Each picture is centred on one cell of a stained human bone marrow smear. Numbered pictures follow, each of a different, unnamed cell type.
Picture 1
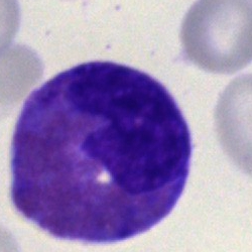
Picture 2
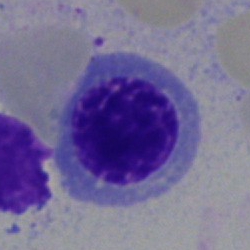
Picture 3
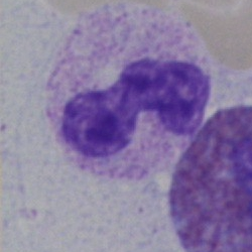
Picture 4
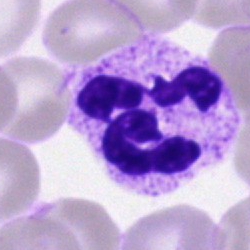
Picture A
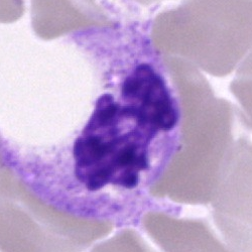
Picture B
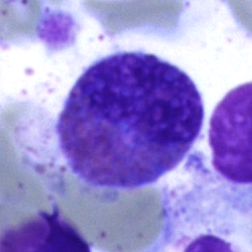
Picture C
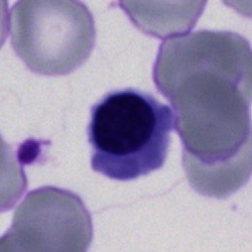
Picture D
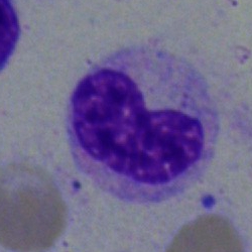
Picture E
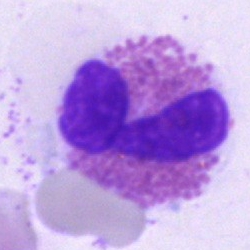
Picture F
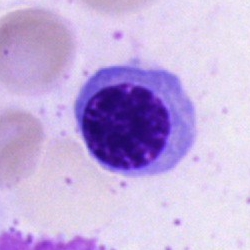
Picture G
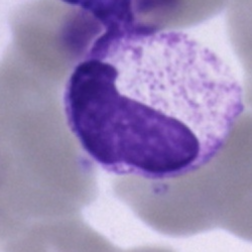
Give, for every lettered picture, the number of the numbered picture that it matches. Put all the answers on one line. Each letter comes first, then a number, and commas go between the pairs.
A 4, B 1, C 2, D 3, E 1, F 2, G 3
